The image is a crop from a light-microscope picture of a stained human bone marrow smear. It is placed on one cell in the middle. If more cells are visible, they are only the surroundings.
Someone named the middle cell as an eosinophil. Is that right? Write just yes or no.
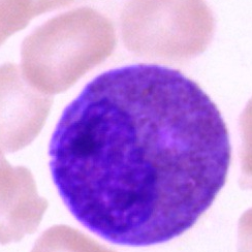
yes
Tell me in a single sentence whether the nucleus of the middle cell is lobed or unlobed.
See how the nucleus sits as one compact round, oval or kidney-shaped mass.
